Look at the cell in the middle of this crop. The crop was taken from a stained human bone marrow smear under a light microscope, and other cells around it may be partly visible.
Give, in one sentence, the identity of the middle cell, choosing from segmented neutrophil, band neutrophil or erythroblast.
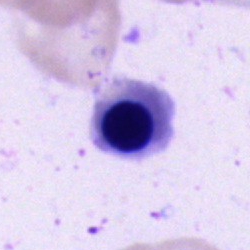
In the central position of this crop, the cell is an erythroblast.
